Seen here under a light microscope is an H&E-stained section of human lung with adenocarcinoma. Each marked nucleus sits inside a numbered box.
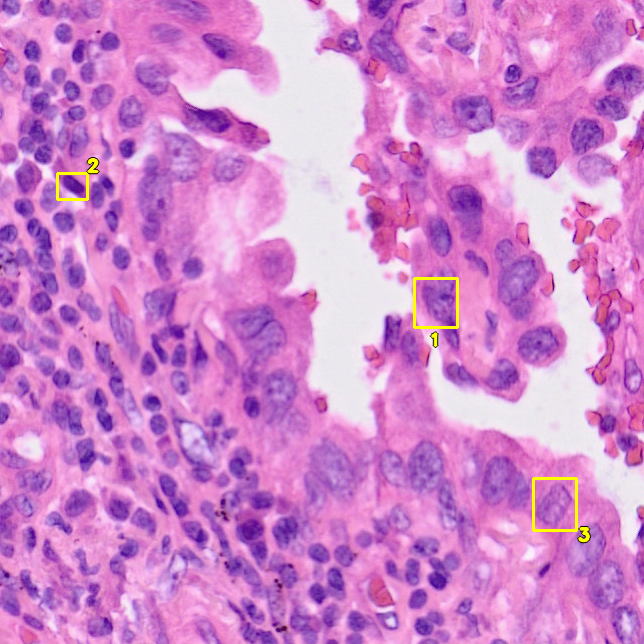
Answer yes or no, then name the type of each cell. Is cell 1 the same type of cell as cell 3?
Yes, both are carcinoma cells.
